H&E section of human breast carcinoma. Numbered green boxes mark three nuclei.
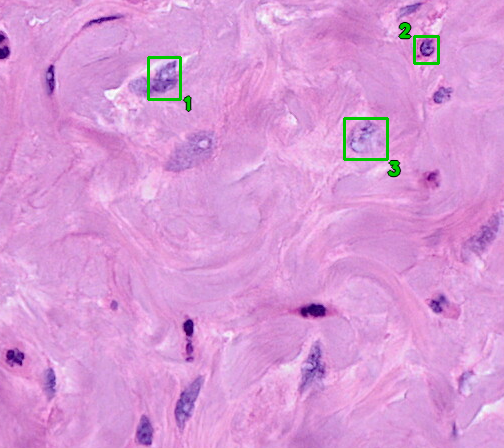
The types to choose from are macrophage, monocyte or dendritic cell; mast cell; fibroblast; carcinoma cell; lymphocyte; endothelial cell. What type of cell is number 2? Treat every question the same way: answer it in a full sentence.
Looking at the numbered marks, cell 2 is a mast cell.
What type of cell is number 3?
The cell tagged with 3 in this tissue section is a fibroblast.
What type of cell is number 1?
Among the marked nuclei, number 1 belongs to a fibroblast.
